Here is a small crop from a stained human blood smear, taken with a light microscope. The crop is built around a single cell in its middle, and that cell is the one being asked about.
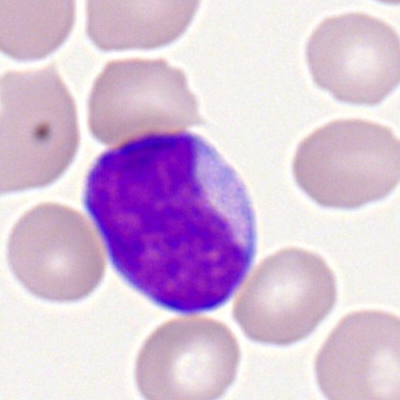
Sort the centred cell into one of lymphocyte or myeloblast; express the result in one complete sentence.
The center cell of this crop is a myeloblast.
